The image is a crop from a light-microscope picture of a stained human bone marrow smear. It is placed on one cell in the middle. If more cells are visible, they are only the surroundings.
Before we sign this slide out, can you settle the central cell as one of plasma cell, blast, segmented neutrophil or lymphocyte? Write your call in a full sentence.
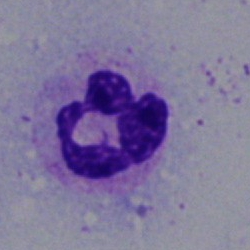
The cell the crop is centered on is a segmented neutrophil.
